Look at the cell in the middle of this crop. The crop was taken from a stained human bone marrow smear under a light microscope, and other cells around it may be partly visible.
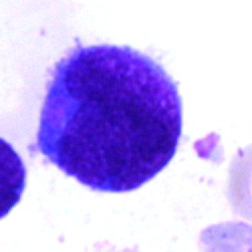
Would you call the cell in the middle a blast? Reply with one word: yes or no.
yes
